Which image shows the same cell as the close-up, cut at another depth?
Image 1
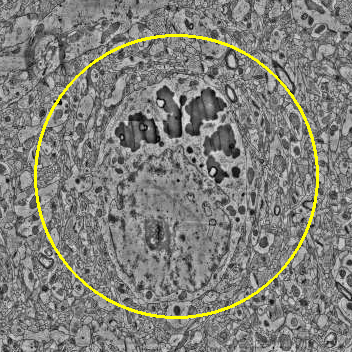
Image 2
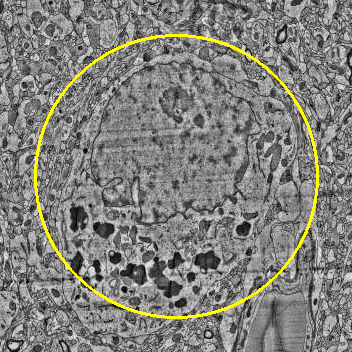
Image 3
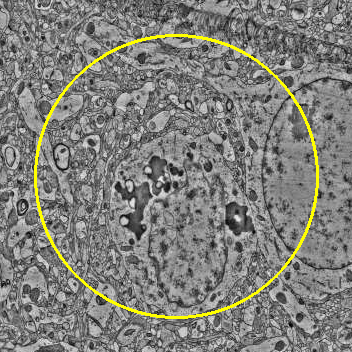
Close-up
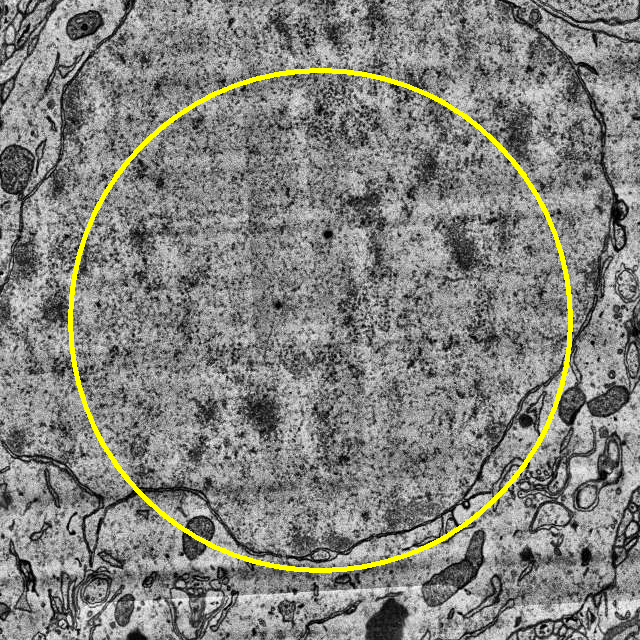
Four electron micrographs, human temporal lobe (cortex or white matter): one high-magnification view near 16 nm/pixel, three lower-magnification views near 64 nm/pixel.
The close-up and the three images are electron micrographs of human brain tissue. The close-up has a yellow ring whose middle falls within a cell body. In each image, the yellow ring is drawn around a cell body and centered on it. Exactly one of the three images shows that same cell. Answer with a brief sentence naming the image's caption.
The cell examined up close is the one ringed in Image 2.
